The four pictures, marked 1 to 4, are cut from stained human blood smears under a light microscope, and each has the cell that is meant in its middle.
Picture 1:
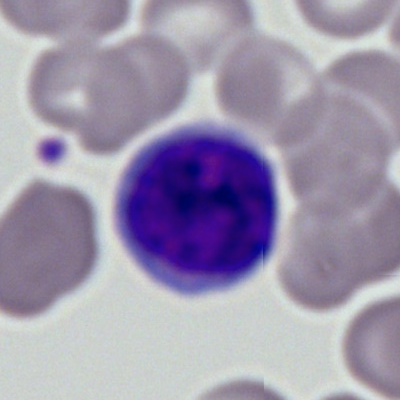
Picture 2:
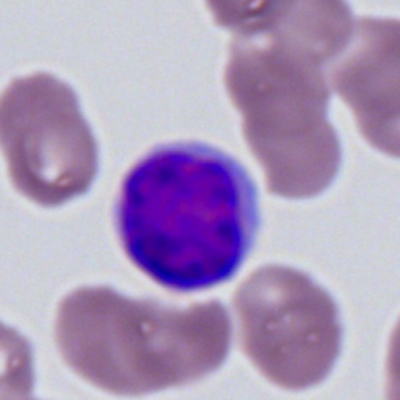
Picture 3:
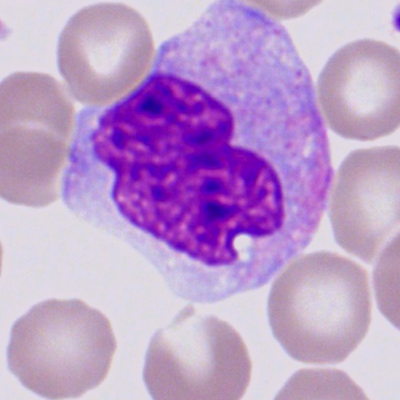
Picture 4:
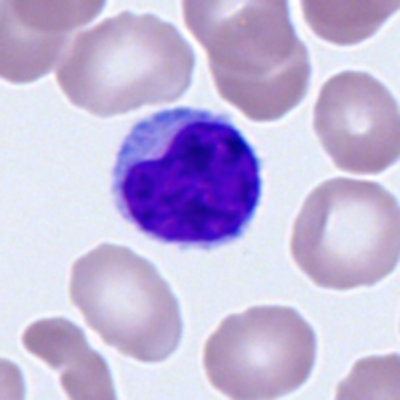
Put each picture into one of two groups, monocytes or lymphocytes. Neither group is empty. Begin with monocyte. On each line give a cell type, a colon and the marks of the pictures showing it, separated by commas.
monocyte: 3
lymphocyte: 1, 2, 4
